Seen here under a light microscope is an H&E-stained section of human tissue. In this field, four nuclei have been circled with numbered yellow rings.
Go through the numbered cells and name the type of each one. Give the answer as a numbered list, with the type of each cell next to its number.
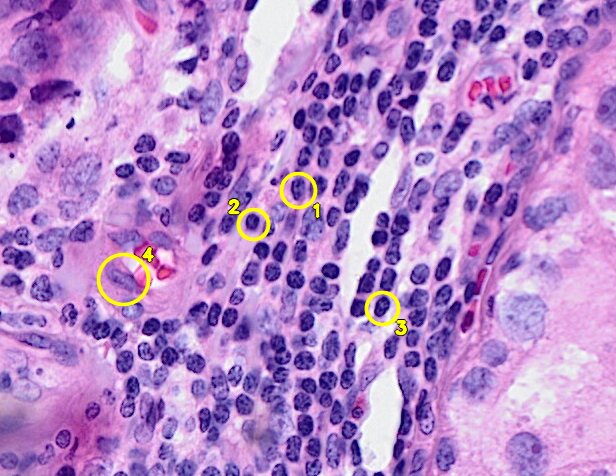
1. lymphocyte
2. lymphocyte
3. lymphocyte
4. endothelial cell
